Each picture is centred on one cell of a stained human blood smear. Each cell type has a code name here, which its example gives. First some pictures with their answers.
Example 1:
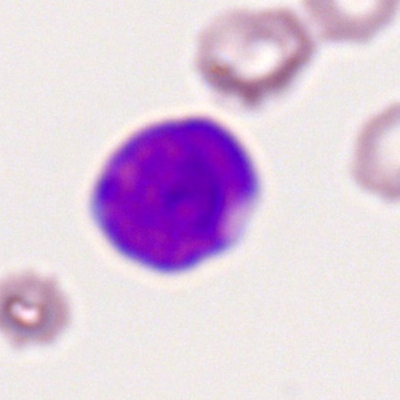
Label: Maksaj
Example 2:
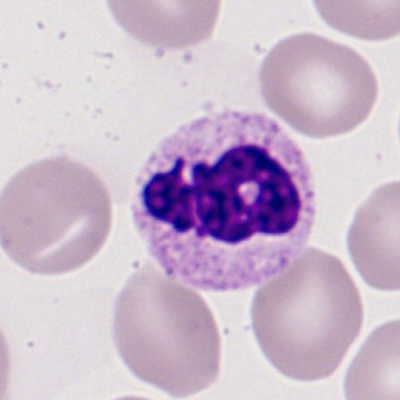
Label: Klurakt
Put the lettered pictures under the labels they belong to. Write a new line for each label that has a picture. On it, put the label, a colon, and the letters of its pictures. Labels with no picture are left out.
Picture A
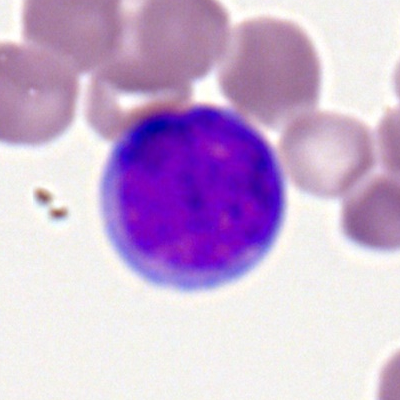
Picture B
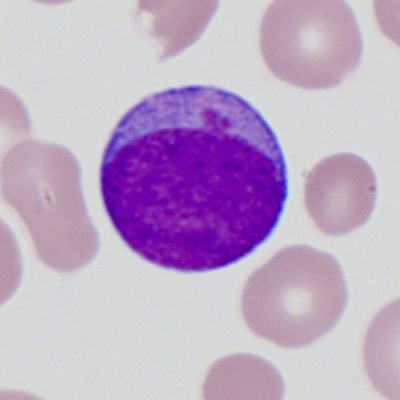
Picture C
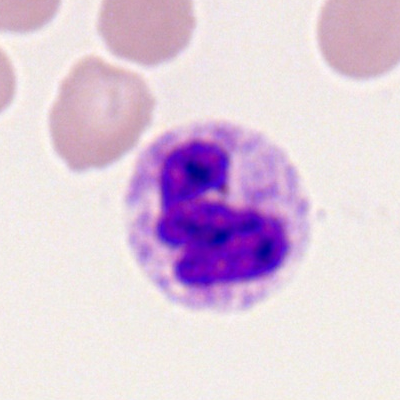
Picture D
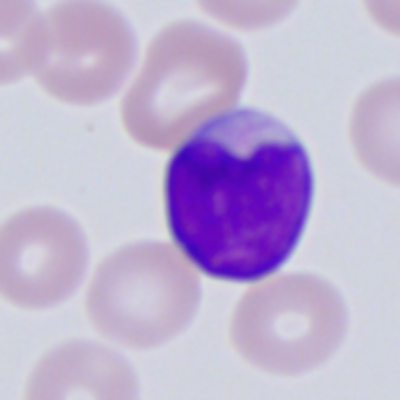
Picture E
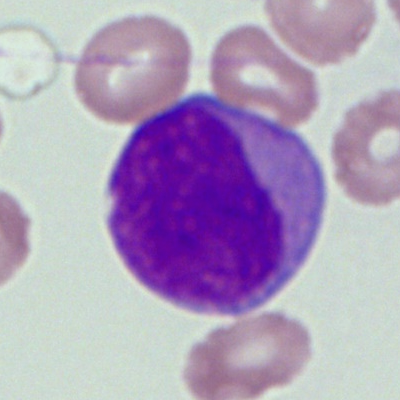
Maksaj: A, B, D, E
Klurakt: C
